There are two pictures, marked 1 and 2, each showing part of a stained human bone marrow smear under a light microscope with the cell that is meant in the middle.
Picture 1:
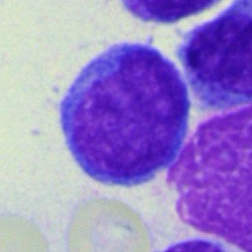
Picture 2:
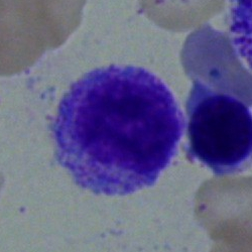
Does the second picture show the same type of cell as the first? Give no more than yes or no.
no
